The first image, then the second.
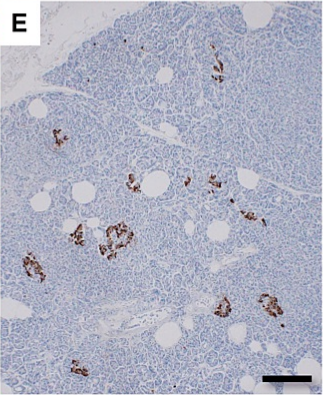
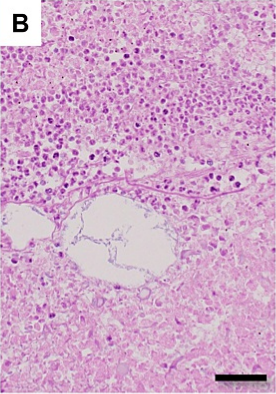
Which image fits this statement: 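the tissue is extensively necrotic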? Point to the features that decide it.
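First image: intact lobules of glandular acini with preserved nuclei. Second image: a pale pink area lacking intact nuclei, overlain by dense inflammatory cells. The answer: the second image.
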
